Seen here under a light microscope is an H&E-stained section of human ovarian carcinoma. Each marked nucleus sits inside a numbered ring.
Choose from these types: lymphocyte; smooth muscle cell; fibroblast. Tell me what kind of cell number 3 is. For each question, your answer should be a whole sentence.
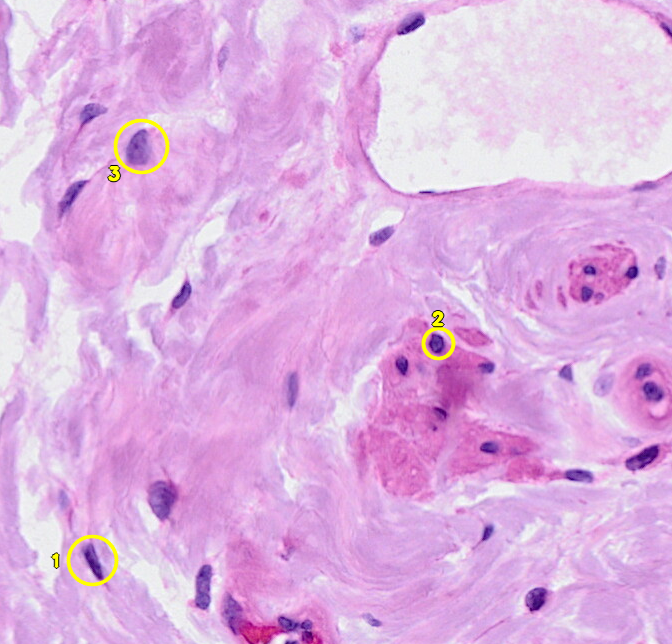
The cell identified by number 3 is a fibroblast.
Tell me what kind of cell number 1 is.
The label 1 in this section denotes a fibroblast.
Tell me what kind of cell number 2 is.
Among the marked nuclei, number 2 belongs to a smooth muscle cell.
